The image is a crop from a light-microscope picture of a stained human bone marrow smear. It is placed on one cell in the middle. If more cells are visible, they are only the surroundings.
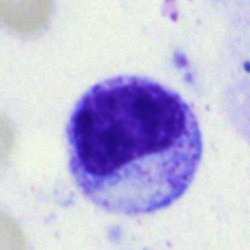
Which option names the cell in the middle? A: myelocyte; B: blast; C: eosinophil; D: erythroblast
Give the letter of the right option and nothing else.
A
